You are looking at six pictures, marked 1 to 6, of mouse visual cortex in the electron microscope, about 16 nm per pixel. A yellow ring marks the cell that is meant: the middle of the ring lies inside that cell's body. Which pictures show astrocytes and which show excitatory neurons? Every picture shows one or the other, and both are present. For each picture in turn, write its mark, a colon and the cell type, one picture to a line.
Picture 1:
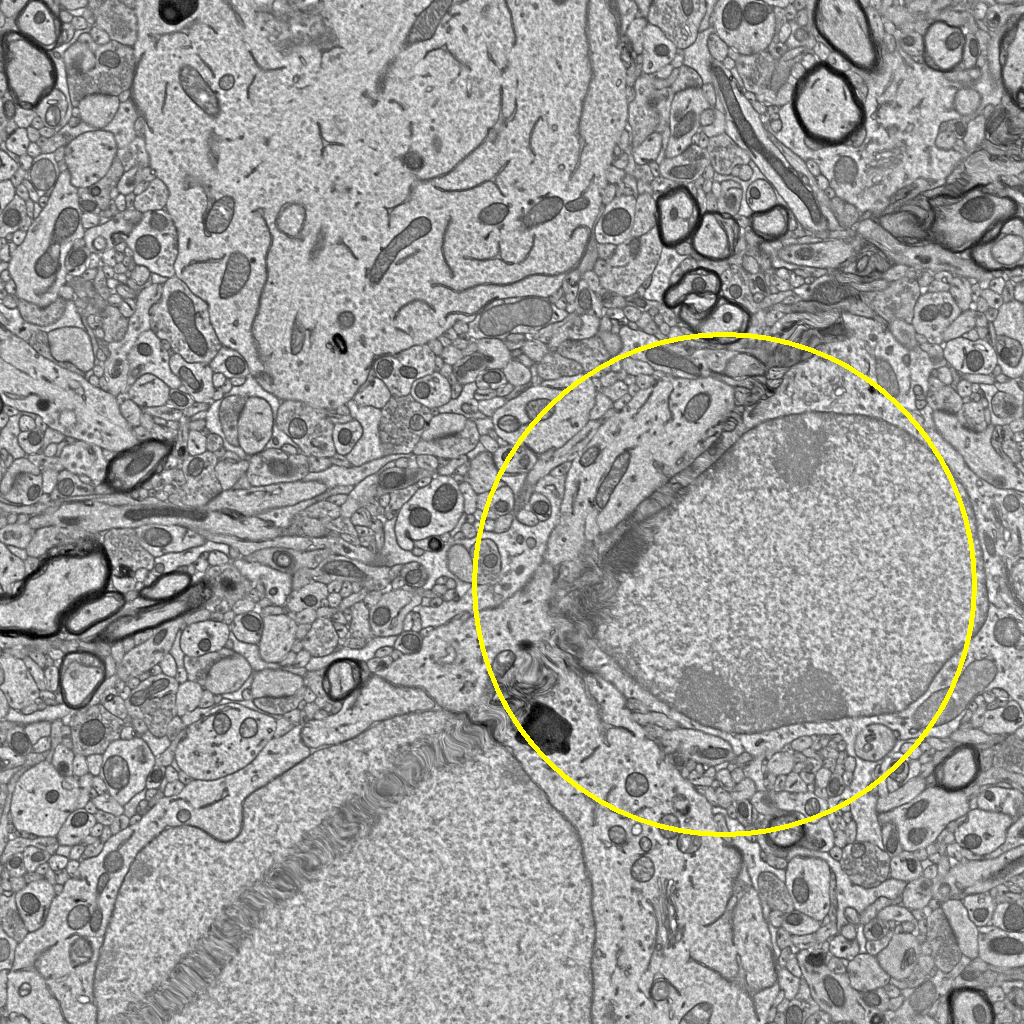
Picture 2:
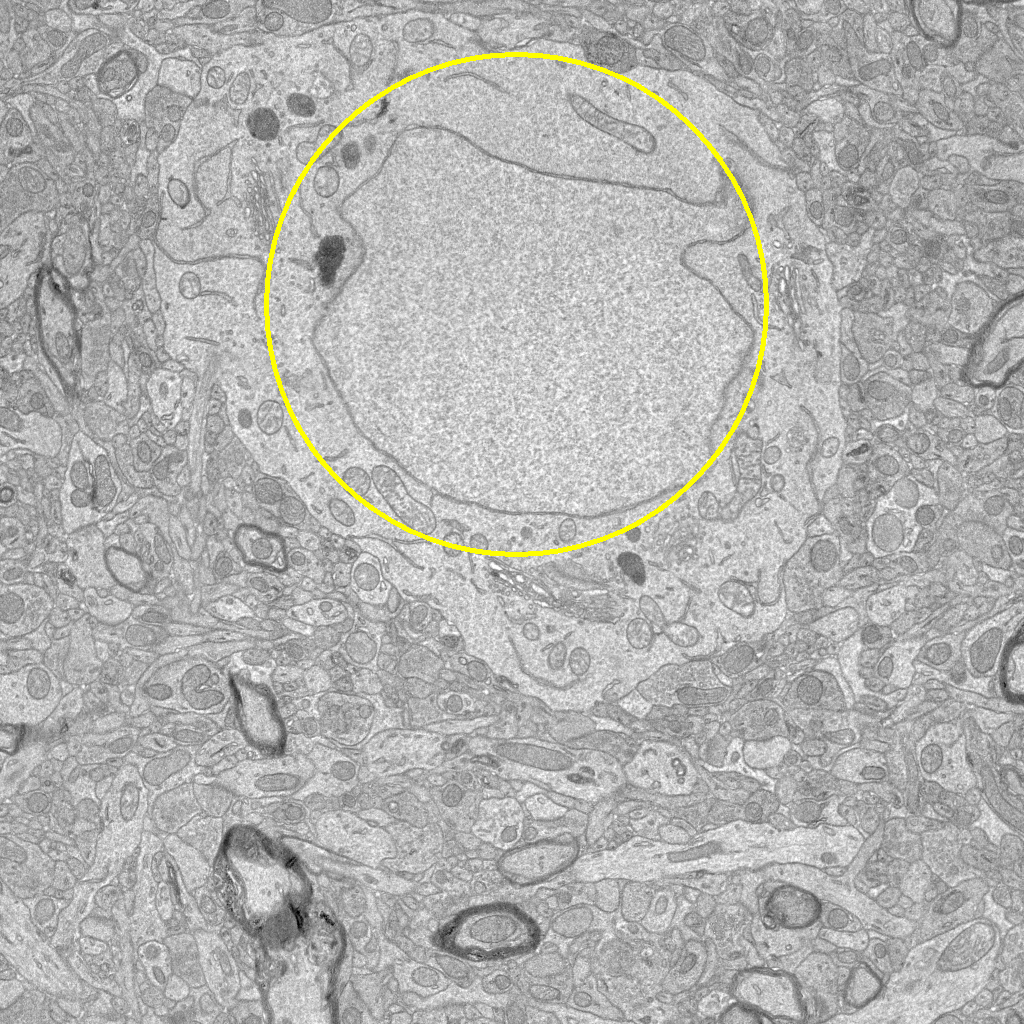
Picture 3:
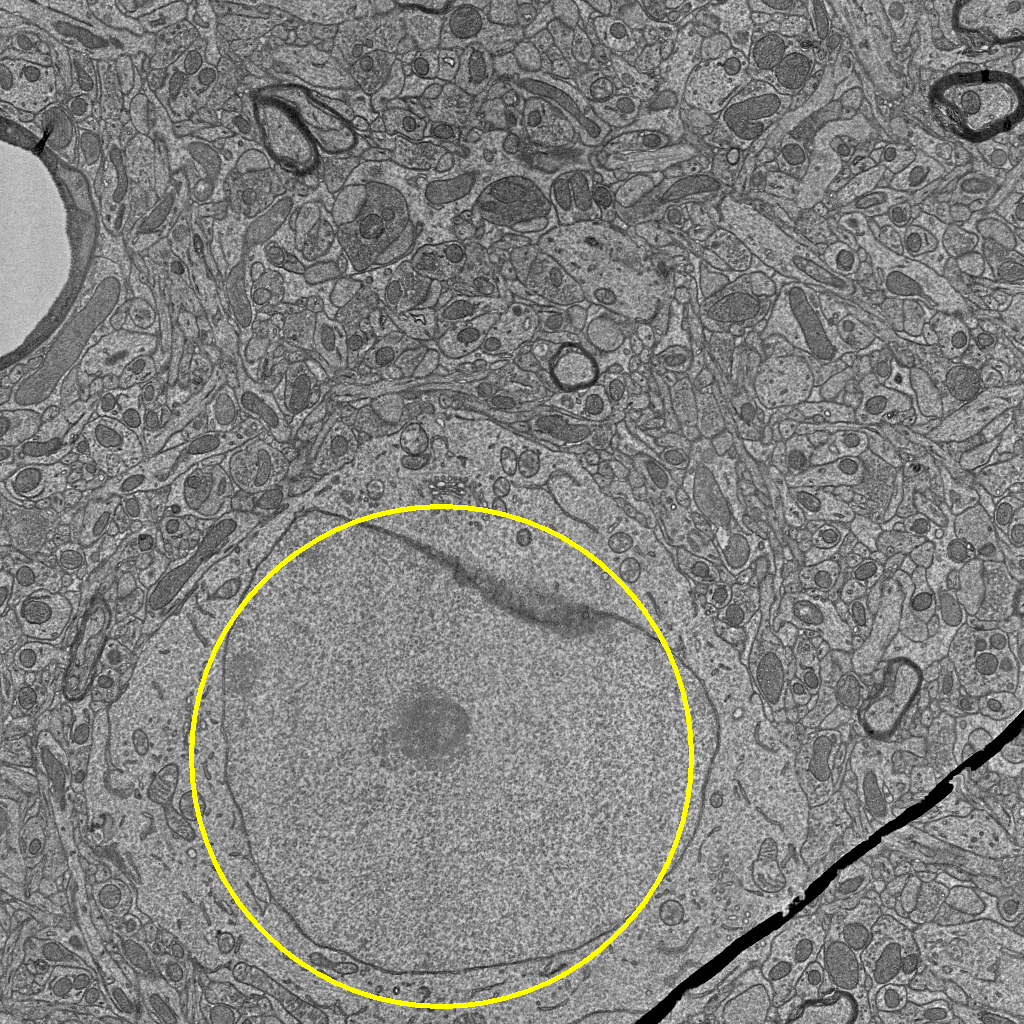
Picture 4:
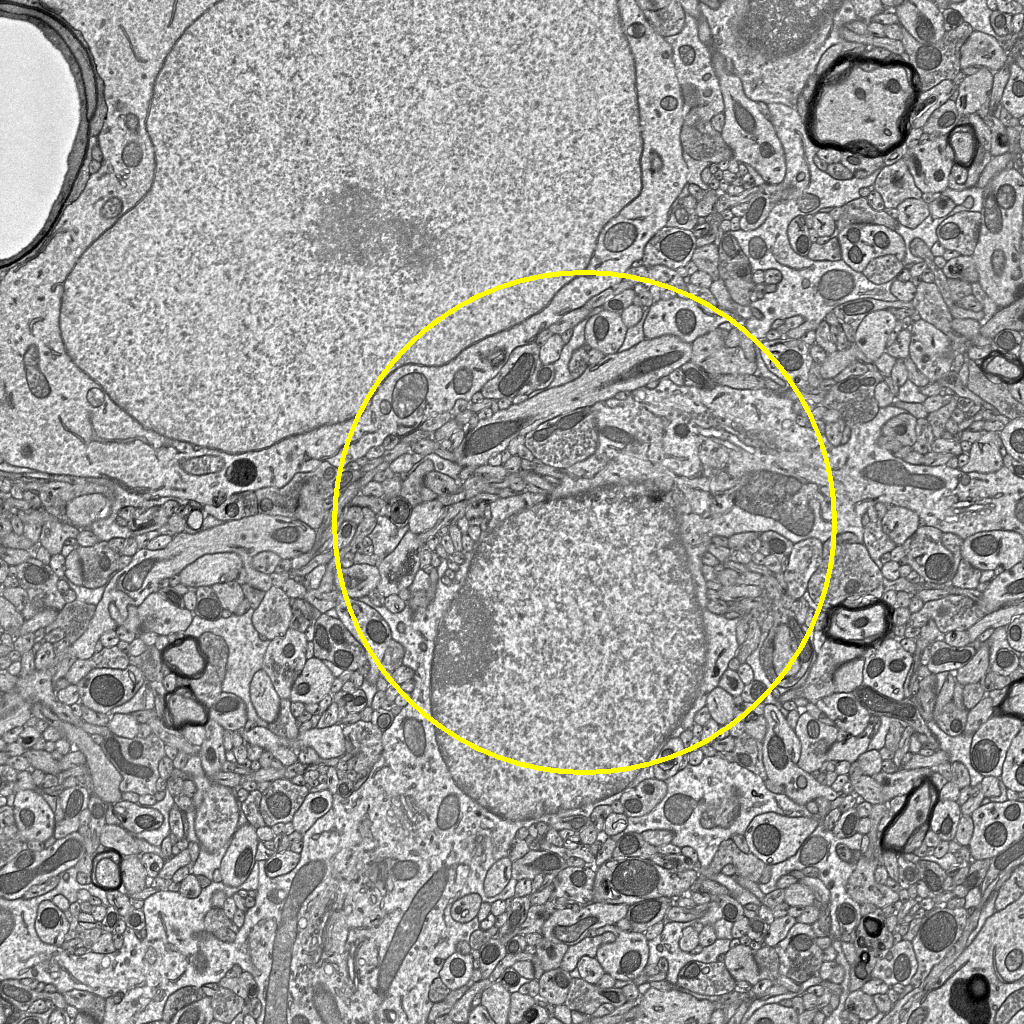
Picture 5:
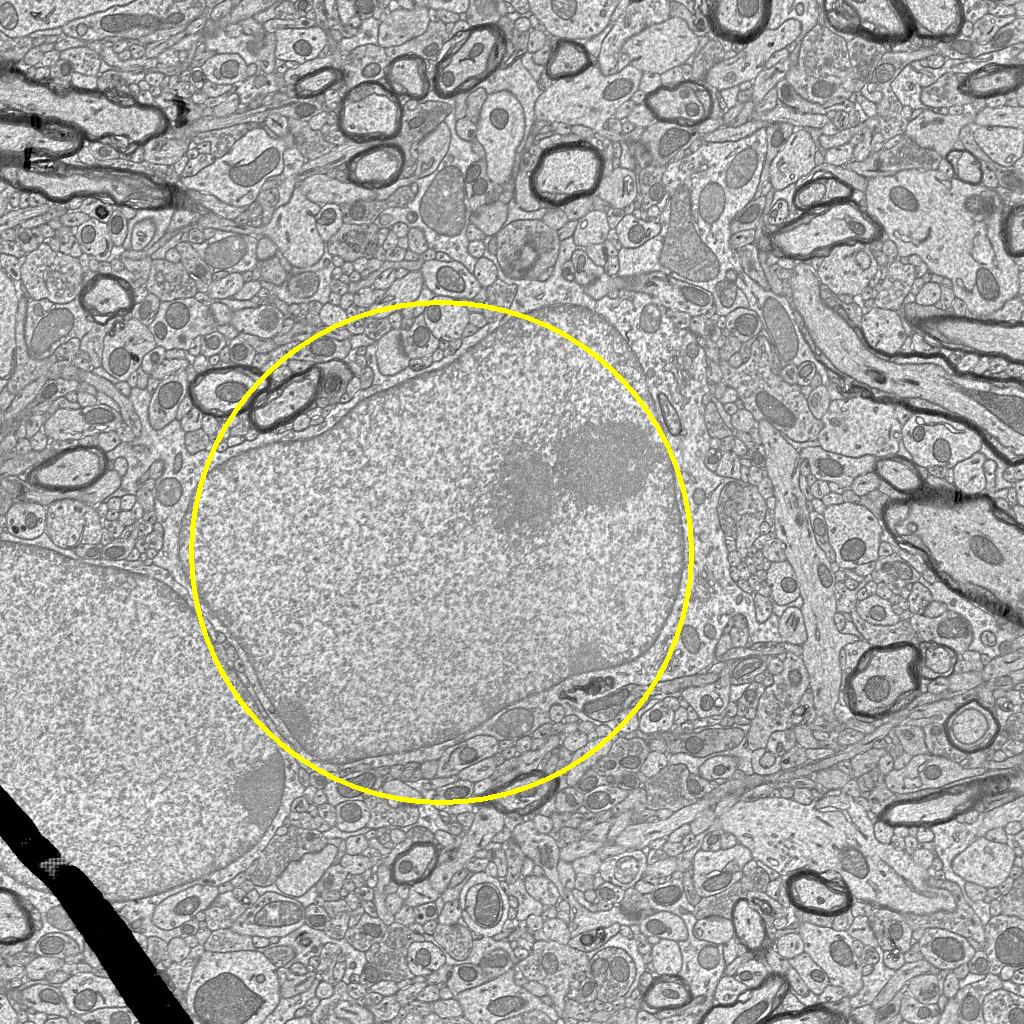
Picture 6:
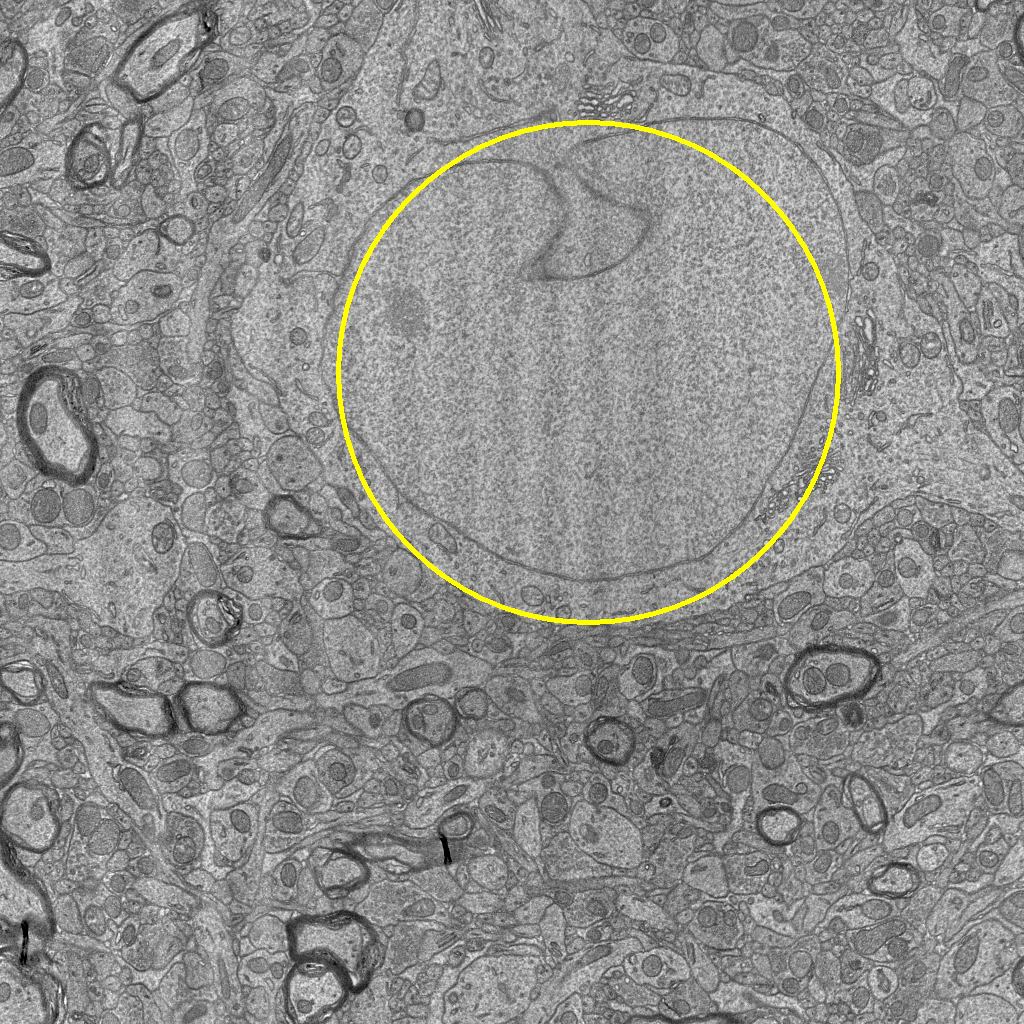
1: astrocyte
2: excitatory neuron
3: excitatory neuron
4: astrocyte
5: astrocyte
6: excitatory neuron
